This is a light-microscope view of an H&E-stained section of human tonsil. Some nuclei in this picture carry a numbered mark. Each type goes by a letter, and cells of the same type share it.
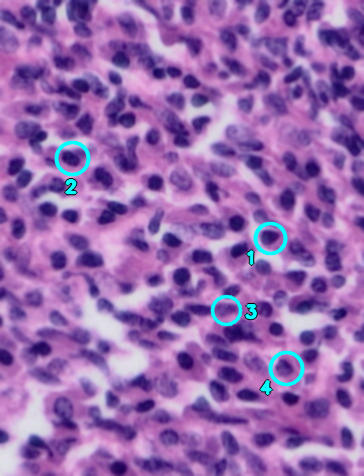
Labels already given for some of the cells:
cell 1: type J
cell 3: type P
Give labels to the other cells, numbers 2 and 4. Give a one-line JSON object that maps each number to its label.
{"2": "type J", "4": "type J"}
